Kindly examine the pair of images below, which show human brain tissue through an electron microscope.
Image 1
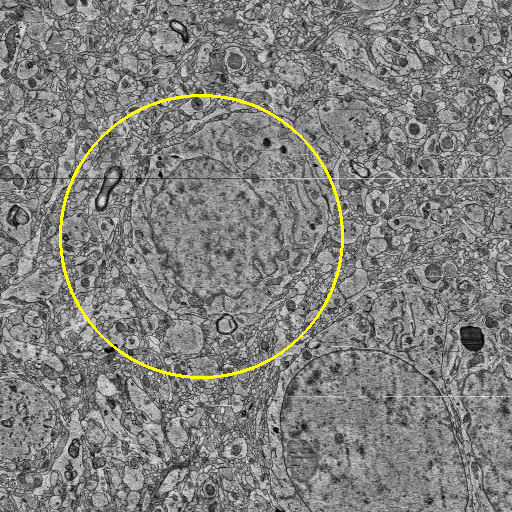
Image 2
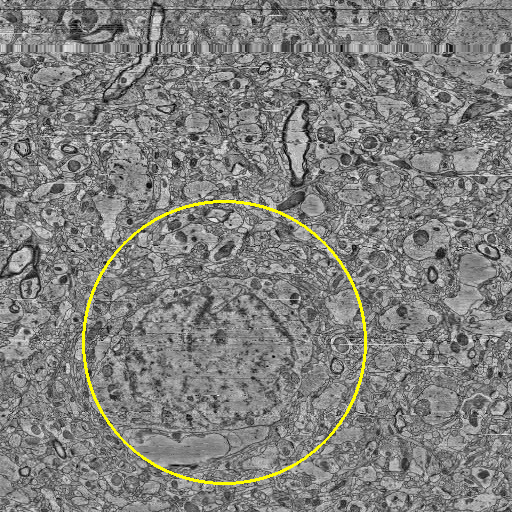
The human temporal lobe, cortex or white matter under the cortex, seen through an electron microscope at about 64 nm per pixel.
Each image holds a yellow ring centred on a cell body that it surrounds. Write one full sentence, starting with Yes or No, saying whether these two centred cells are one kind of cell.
Yes, both cells at the centres of the yellow rings belong to one kind of cell.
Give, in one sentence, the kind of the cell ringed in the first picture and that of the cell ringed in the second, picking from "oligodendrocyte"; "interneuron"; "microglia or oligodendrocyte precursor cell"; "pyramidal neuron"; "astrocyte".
Each cell at the centre of a ring is an interneuron.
